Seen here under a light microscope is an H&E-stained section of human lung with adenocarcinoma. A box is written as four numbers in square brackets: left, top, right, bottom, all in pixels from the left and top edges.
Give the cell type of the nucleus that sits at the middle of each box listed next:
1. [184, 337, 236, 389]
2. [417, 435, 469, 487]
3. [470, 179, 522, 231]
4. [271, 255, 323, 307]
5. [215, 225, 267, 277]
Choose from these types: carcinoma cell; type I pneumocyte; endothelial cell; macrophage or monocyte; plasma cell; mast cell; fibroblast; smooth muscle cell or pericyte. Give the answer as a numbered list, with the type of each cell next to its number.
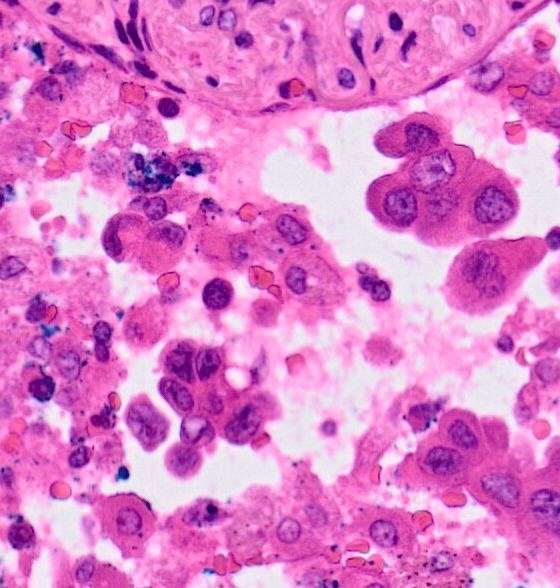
1. carcinoma cell
2. carcinoma cell
3. carcinoma cell
4. macrophage or monocyte
5. macrophage or monocyte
